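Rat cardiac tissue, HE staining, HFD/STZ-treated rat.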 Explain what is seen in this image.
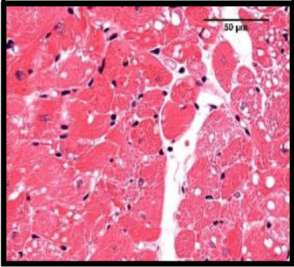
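This is heart muscle stained pink with eosin, with the cardiomyocytes cut across, but here the cell profiles are clearly broad and irregular. Many muscle cells contain round, clear, empty-looking spaces within their pink cytoplasm, giving the tissue a bubbly, vacuolated look. The dark purple nuclei are fewer per field and sit scattered among the large cell profiles. Compared with normal heart muscle the cells look enlarged and less uniform.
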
